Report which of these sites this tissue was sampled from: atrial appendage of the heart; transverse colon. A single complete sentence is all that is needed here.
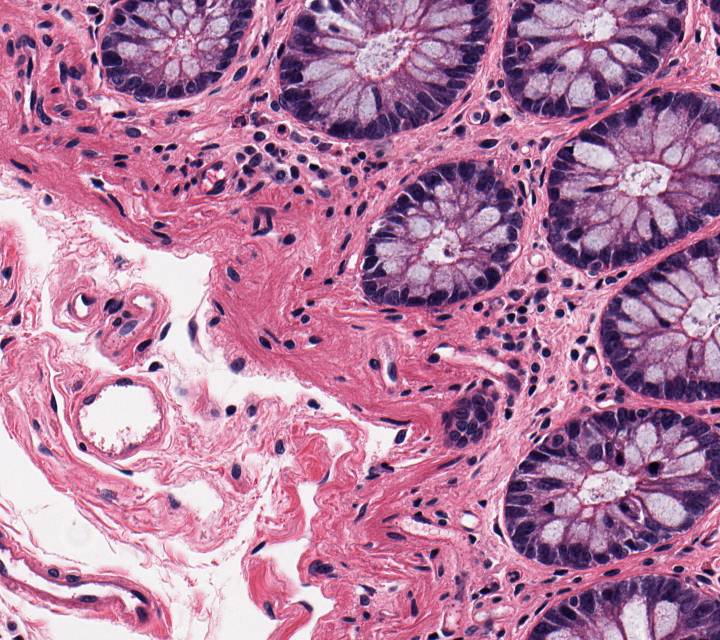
It is from the transverse colon that this section was cut.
